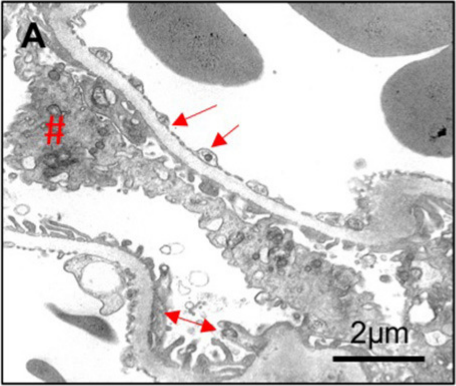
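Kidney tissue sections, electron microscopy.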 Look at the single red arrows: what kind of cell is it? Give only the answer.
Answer: glomerular endothelial cell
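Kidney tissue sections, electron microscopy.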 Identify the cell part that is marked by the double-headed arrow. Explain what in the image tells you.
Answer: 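A row of small regularly spaced knobs sits on the outer side of a thin grey membrane. The knobs are separated by narrow gaps.
Hence: foot processes.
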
